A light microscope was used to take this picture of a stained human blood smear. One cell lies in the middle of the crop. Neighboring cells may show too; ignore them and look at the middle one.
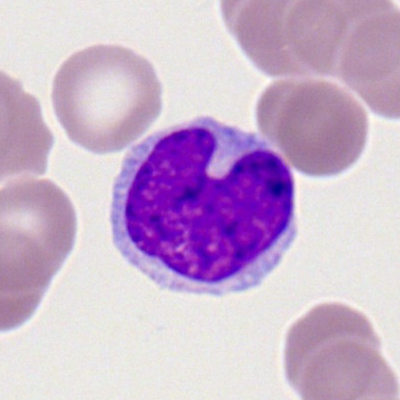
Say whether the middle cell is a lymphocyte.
yes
